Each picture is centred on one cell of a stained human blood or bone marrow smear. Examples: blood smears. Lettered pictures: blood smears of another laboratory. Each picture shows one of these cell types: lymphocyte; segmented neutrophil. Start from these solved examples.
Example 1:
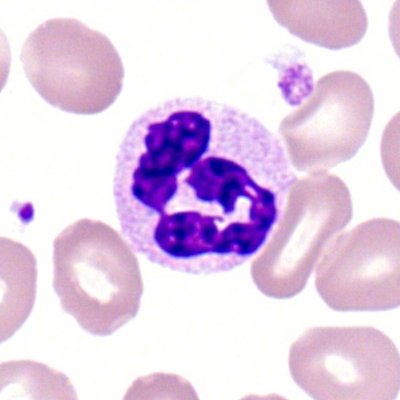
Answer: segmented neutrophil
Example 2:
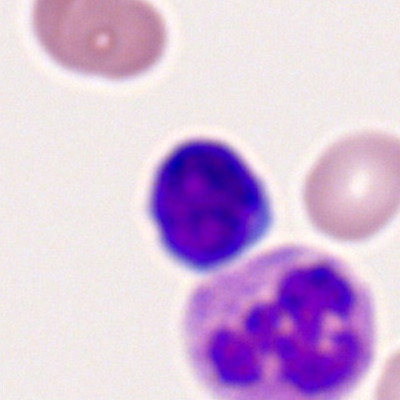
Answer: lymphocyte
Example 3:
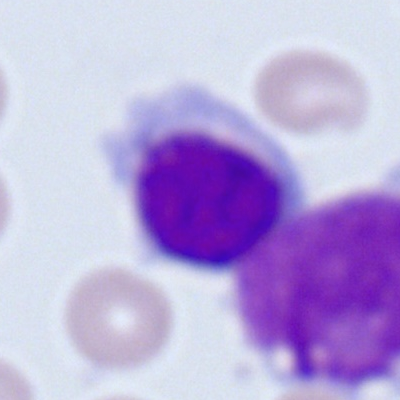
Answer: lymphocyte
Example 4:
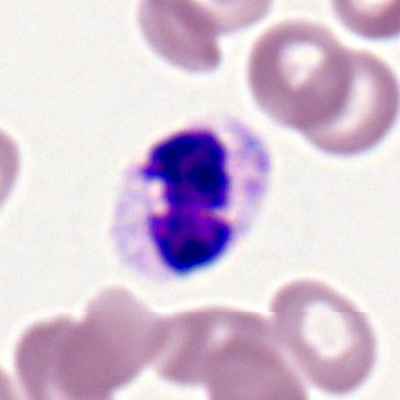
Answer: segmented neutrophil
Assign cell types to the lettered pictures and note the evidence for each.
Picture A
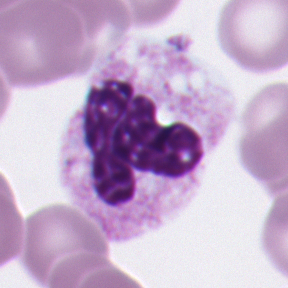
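Label: segmented neutrophil. The cytoplasm is abundant and pale pinkish-lilac.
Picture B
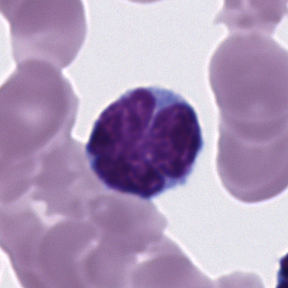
Label: lymphocyte. The cytoplasm is a thin rim that is widest at the top, beside the cleft.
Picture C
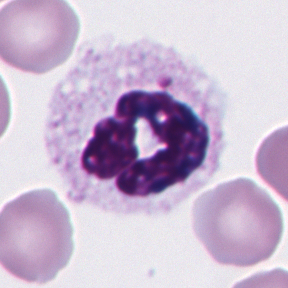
Label: segmented neutrophil. The nucleus is lobed and curves around a pale central gap, forming a nearly closed ring.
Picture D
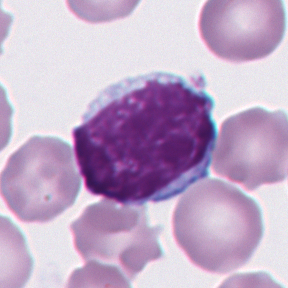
Label: lymphocyte. The cytoplasm forms only a thin rim around the nucleus.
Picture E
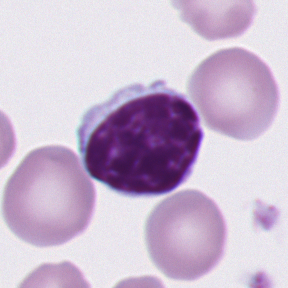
Label: lymphocyte. The cytoplasm forms only a thin rim, seen mainly along the upper-left side of the nucleus.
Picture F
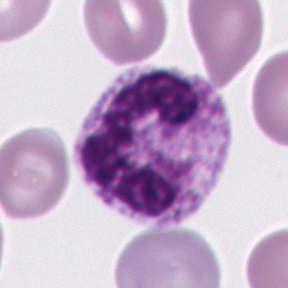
Label: segmented neutrophil. The nucleus is curved into a C shape that runs along the left side of the cell.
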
